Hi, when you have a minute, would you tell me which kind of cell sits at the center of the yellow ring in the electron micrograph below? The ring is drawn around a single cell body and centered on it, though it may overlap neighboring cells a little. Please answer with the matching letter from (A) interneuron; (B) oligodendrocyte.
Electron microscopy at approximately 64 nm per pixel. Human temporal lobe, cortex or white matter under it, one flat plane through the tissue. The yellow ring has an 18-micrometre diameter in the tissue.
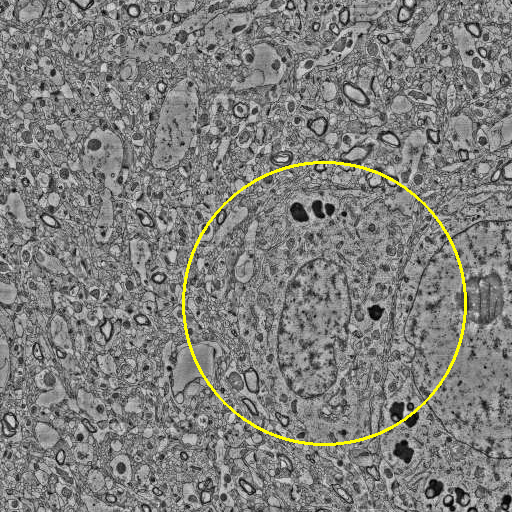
A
